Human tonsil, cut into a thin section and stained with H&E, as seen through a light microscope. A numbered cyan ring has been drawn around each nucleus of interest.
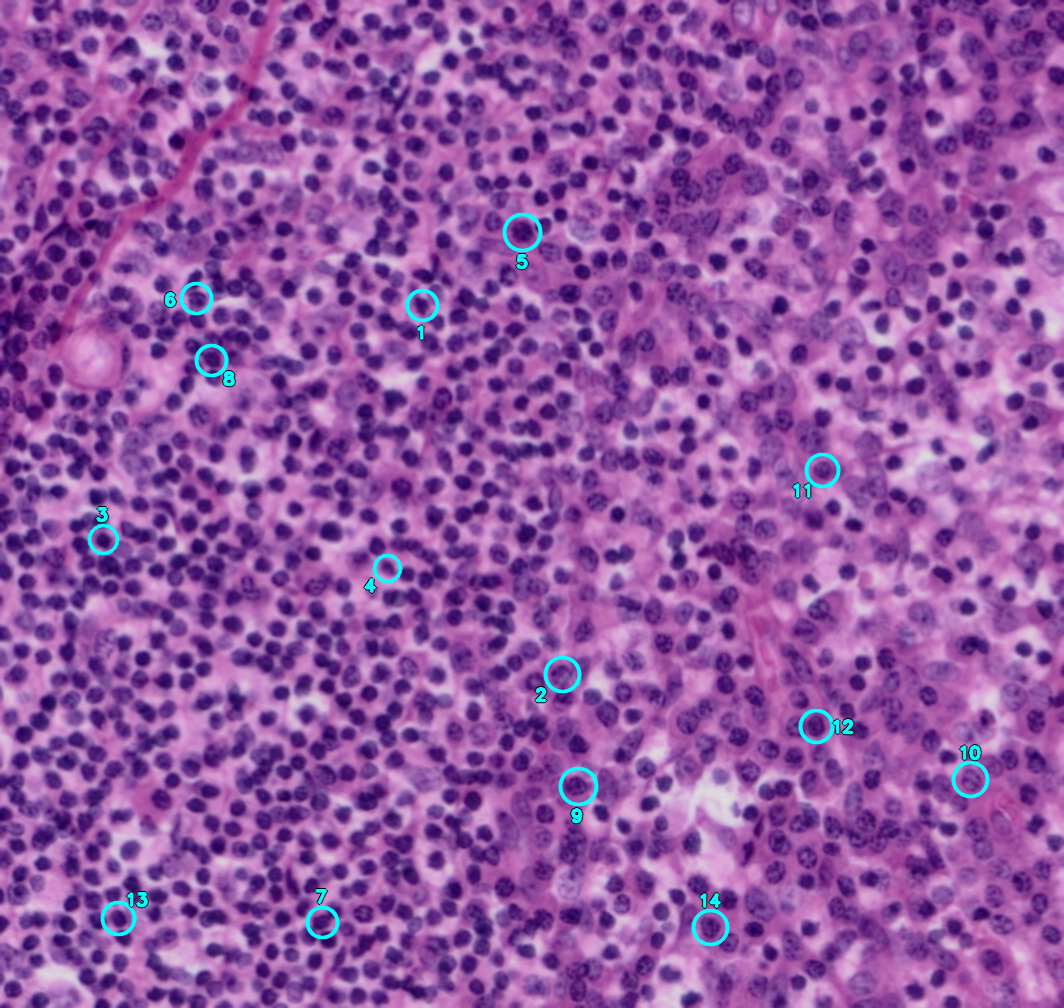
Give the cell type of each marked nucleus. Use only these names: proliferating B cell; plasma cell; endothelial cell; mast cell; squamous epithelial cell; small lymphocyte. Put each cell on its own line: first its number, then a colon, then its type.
1: small lymphocyte
2: plasma cell
3: small lymphocyte
4: small lymphocyte
5: plasma cell
6: small lymphocyte
7: small lymphocyte
8: small lymphocyte
9: plasma cell
10: plasma cell
11: plasma cell
12: plasma cell
13: small lymphocyte
14: plasma cell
